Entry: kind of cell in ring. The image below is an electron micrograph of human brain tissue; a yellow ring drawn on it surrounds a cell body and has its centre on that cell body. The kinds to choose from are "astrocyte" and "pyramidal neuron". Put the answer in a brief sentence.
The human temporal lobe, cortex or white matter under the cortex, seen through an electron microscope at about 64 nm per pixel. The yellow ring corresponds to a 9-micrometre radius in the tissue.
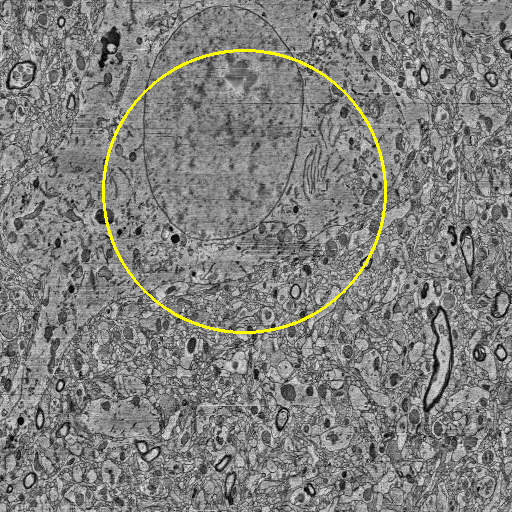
The ring has been drawn around a pyramidal neuron.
